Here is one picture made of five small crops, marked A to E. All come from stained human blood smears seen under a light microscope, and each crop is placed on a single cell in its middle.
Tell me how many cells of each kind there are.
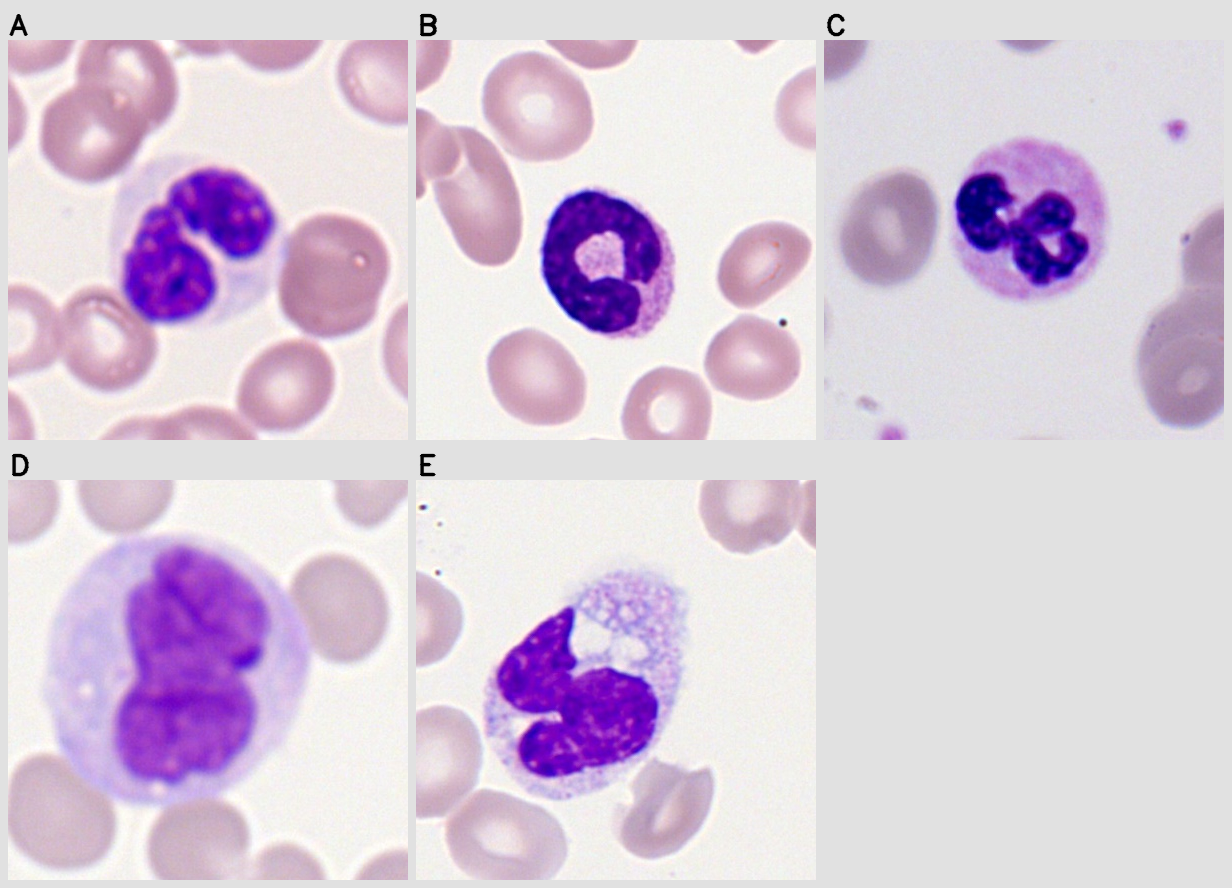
segmented neutrophil: 2
monocyte: 2
band neutrophil: 1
